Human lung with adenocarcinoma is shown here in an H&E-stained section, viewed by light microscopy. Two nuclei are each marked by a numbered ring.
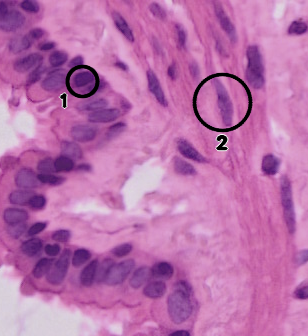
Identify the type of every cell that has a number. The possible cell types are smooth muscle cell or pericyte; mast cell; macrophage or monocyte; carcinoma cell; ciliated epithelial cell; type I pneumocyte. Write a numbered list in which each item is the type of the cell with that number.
1. ciliated epithelial cell
2. smooth muscle cell or pericyte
